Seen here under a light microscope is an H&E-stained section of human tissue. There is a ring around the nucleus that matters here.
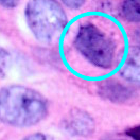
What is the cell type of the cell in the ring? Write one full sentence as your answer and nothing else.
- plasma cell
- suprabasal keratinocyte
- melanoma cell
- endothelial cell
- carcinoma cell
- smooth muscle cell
In the tissue at hand, the cell in the ring is a carcinoma cell.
